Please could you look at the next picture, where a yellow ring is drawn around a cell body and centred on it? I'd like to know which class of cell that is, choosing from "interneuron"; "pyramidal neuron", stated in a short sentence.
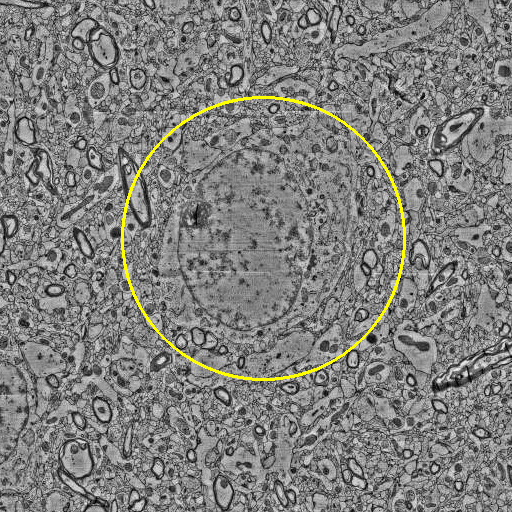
The ring's centre lies on an interneuron.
